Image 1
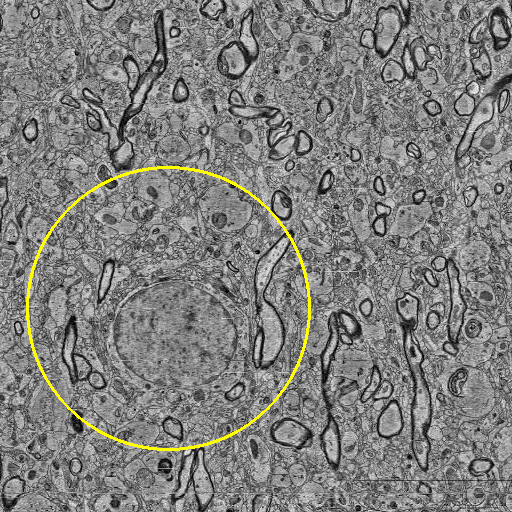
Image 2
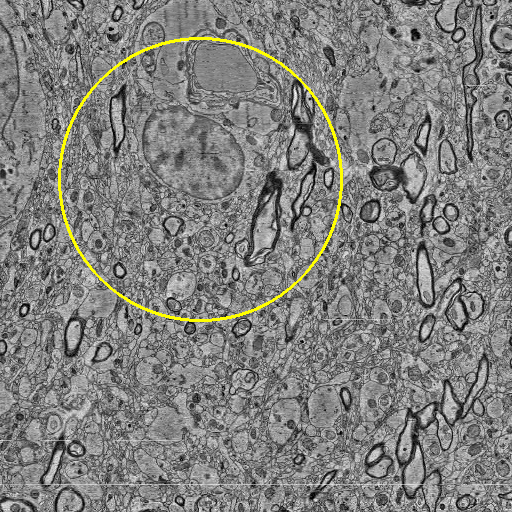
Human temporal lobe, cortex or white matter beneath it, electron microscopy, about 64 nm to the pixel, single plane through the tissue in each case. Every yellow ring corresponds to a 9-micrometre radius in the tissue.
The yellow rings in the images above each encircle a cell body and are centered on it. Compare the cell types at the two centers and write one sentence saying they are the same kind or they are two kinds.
Taken together, the two cells at the ring centers are two kinds.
